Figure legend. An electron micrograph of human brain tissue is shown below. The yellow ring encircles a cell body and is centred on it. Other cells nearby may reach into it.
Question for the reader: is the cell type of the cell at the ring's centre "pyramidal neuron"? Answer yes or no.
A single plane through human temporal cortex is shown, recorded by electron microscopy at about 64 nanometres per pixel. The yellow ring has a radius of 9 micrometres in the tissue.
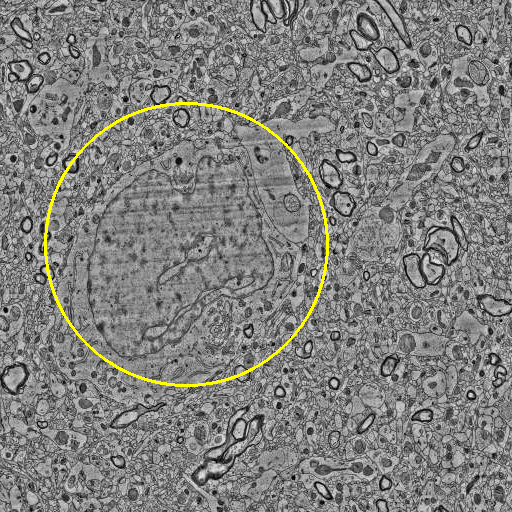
no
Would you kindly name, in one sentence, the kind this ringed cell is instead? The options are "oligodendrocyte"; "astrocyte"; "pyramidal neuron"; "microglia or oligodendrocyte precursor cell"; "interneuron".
The cell at the ring centre is an interneuron.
